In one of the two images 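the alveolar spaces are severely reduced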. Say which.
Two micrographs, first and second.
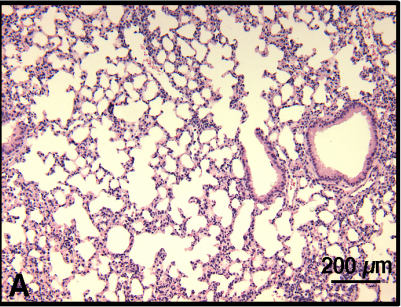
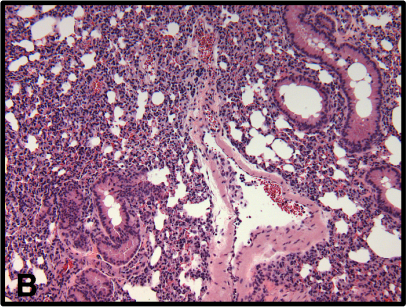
The second image.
